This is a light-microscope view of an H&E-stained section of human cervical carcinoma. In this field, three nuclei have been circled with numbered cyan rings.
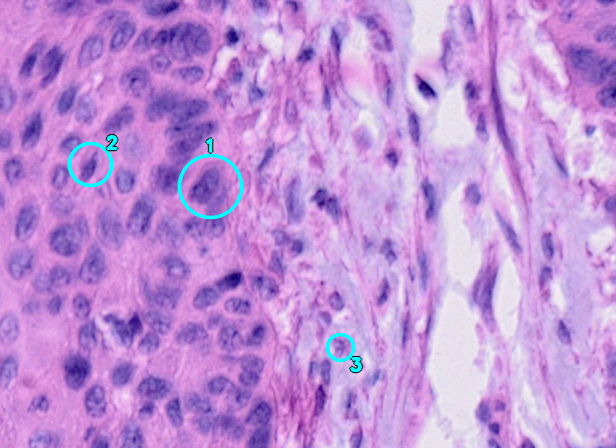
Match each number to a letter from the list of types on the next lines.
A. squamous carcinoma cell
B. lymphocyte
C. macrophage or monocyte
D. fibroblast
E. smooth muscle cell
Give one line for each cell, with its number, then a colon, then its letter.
1: A
2: A
3: D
